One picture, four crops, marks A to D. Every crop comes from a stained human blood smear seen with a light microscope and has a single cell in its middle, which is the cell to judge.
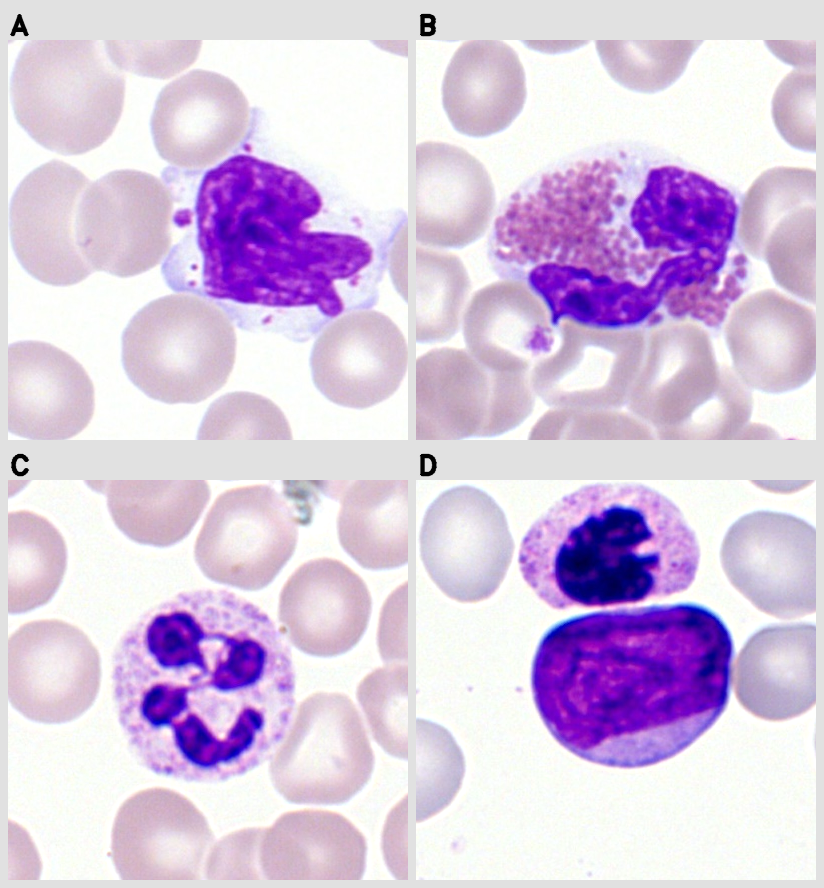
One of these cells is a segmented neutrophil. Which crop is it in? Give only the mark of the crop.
C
